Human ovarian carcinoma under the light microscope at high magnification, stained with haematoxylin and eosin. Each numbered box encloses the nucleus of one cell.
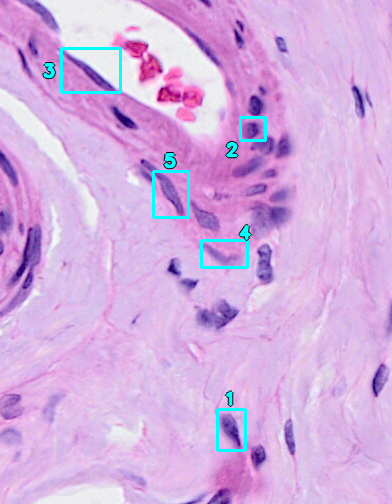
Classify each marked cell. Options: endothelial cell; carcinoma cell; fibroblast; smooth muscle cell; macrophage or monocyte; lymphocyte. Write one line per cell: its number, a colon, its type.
1: fibroblast
2: smooth muscle cell
3: endothelial cell
4: smooth muscle cell
5: smooth muscle cell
